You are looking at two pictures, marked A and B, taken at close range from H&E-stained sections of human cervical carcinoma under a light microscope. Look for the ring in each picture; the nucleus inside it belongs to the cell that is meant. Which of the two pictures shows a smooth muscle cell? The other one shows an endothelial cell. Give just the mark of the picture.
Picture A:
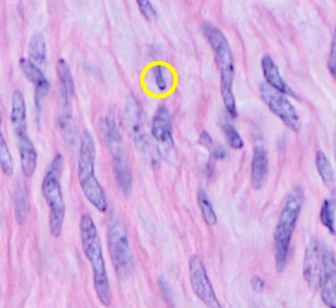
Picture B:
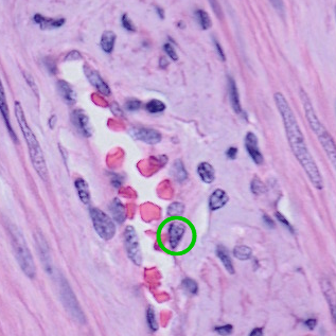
A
